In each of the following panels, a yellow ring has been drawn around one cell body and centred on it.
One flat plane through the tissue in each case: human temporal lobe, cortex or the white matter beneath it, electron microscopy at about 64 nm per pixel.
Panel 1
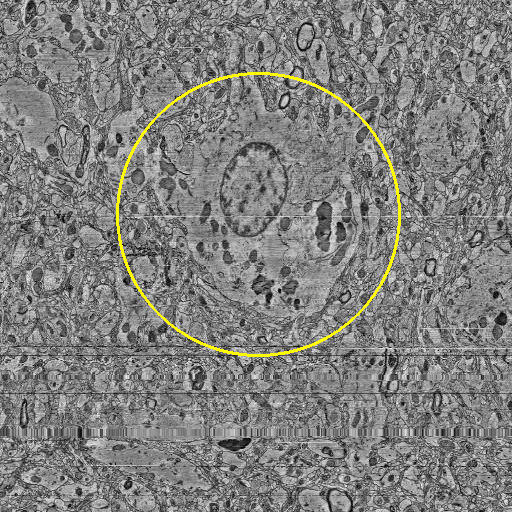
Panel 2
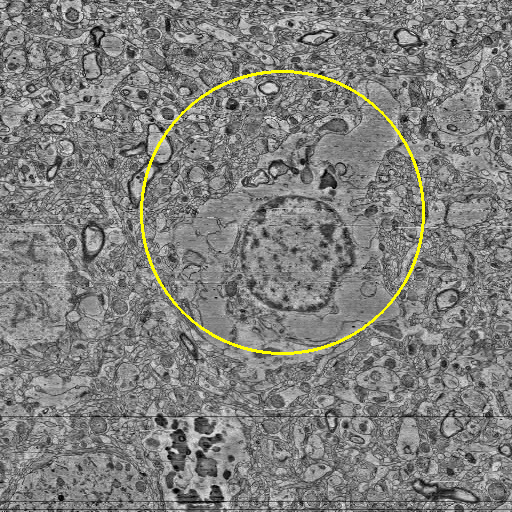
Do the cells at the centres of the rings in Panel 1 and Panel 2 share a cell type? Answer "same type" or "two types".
same type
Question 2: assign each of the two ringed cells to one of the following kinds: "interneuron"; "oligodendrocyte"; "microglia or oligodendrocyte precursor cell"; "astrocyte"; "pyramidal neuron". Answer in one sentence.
Each cell, in the first picture and the second, is an astrocyte.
